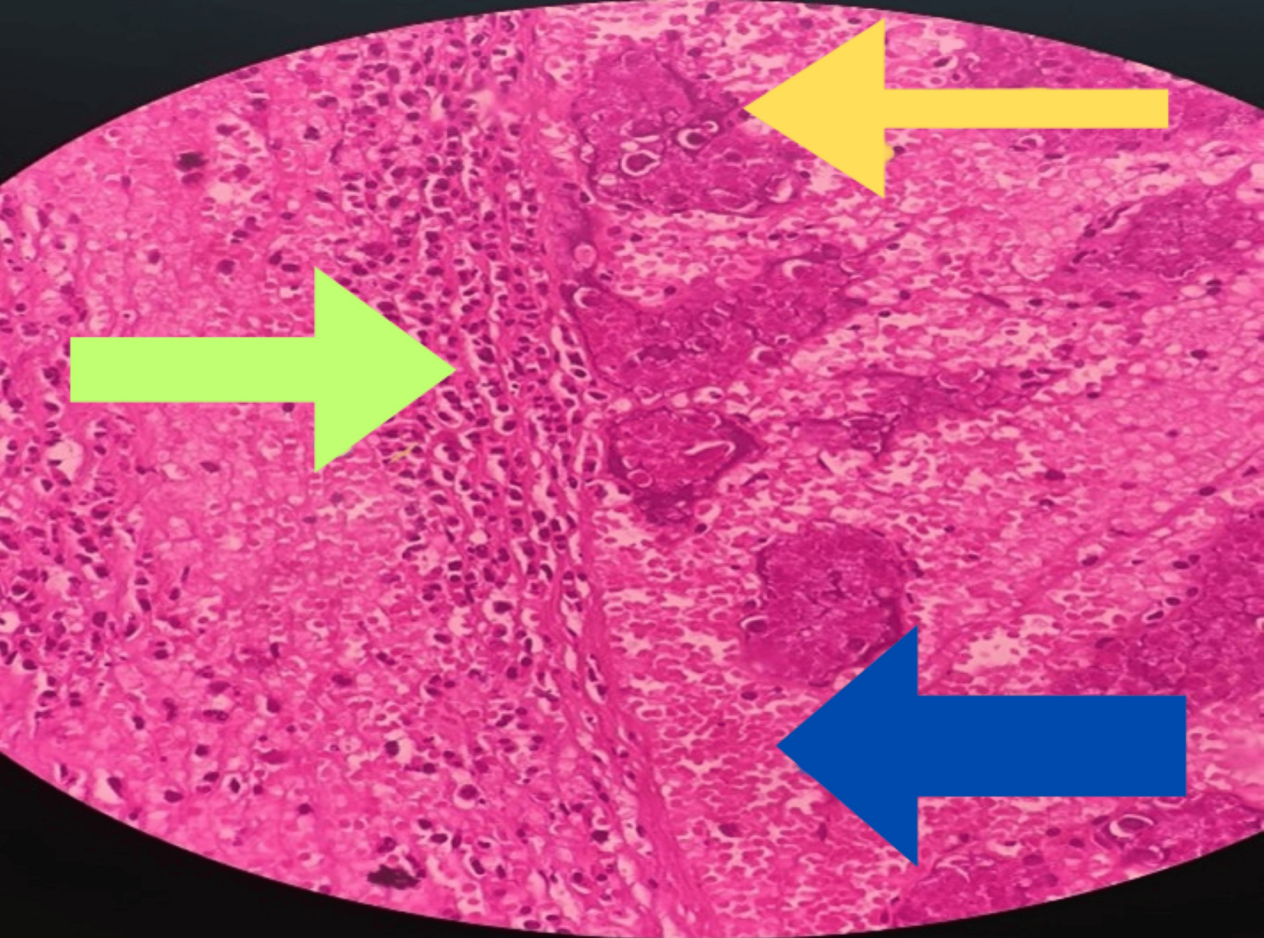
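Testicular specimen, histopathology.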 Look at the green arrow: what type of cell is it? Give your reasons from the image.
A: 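The arrow points to a vertical band of densely packed small cells. These cells have dark, round nuclei and scant cytoplasm. On this evidence: inflammatory cells.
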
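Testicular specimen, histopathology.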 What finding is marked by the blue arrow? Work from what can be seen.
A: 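The arrow points to a sheet of small, pale pink, round bodies without nuclei. These bodies fill wide areas of the field between other structures. That points to this answer: hemorrhage.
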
